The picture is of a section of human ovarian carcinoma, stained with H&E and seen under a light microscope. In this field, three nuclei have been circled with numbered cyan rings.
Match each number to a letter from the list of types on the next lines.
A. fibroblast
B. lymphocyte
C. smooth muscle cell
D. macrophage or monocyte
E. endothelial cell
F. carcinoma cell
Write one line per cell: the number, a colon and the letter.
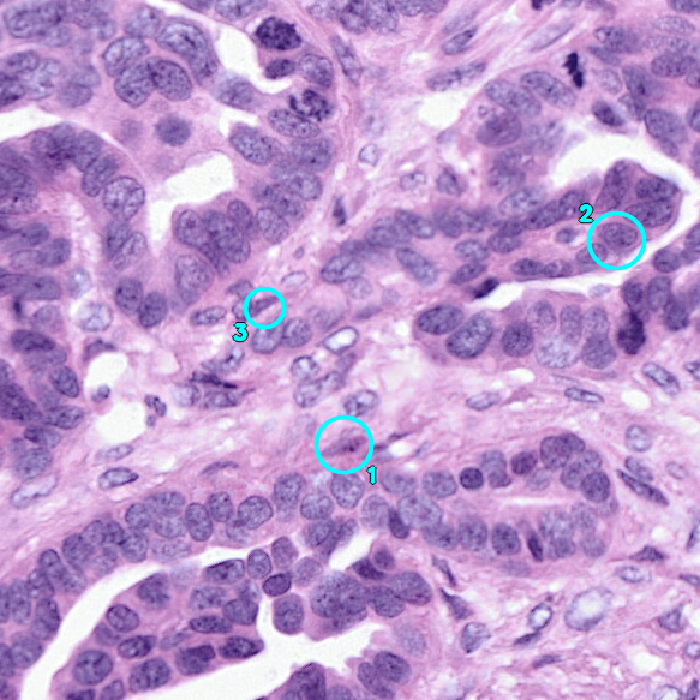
1: A
2: F
3: A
